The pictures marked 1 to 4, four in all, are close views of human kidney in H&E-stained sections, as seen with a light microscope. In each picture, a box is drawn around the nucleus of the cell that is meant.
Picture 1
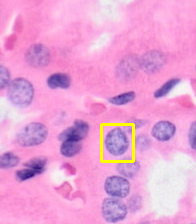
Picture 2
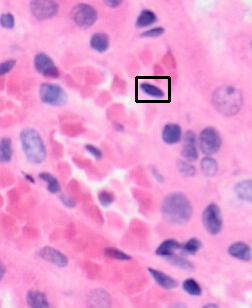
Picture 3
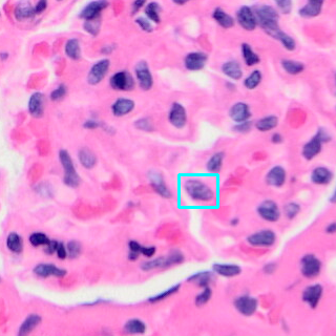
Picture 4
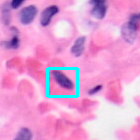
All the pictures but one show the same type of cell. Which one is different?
1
